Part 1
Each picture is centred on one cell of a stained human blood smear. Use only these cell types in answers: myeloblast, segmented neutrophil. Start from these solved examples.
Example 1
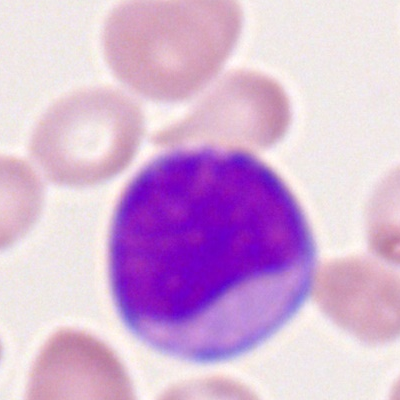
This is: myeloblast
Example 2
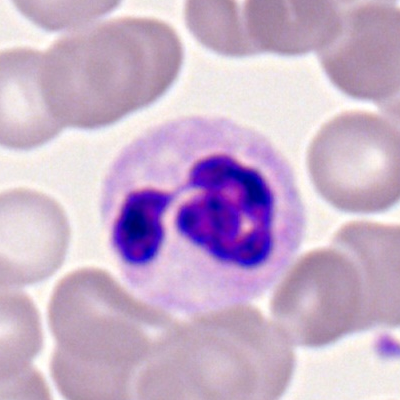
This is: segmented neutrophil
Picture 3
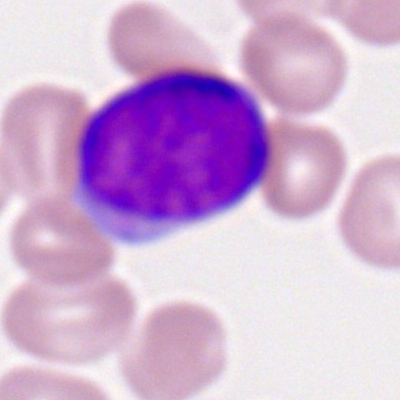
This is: myeloblast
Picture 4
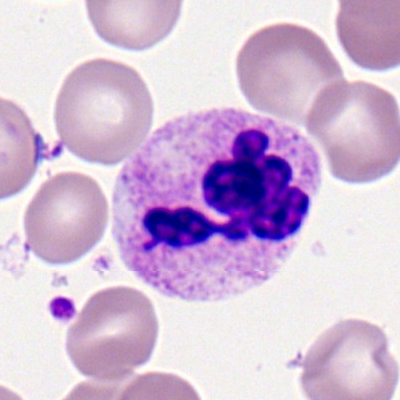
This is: segmented neutrophil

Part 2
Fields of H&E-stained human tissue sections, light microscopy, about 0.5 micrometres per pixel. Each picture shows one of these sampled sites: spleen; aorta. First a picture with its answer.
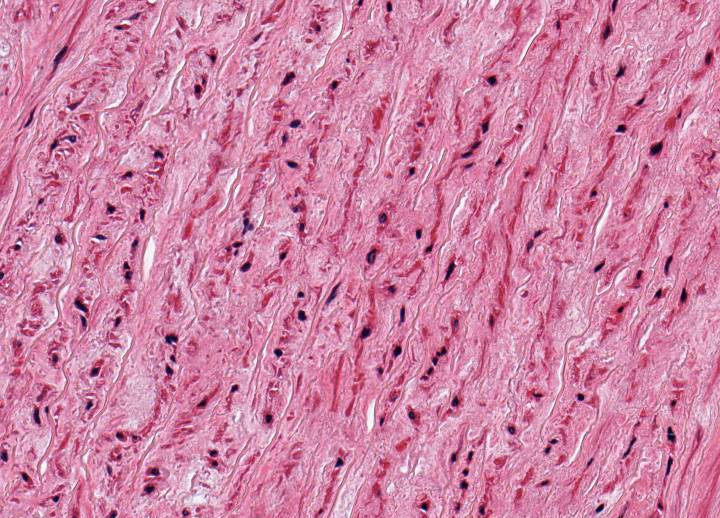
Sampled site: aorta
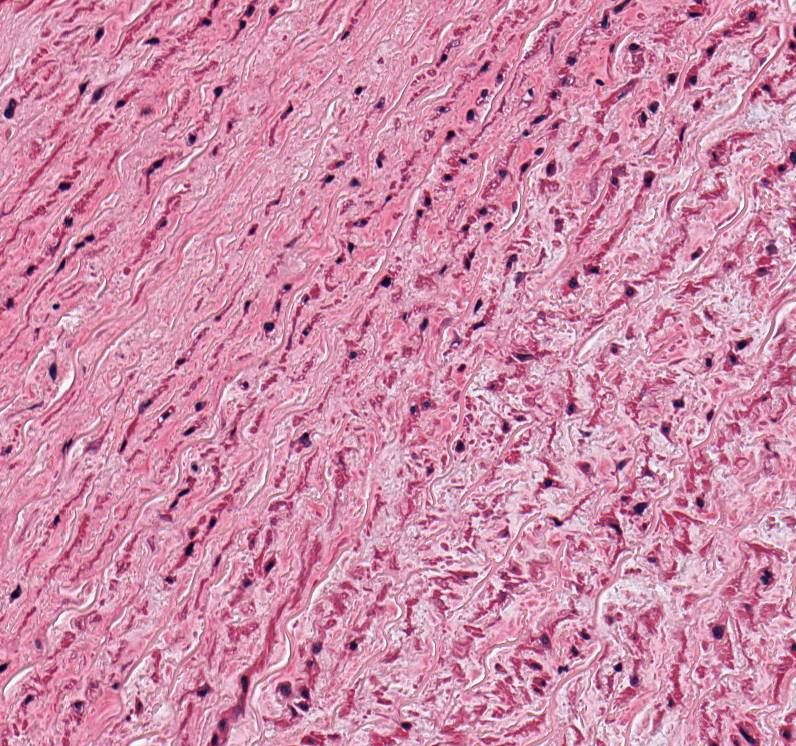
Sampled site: aorta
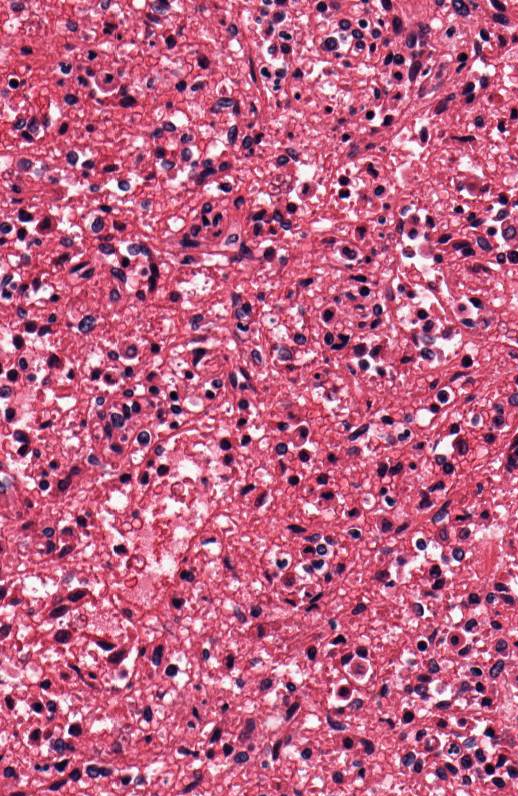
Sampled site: spleen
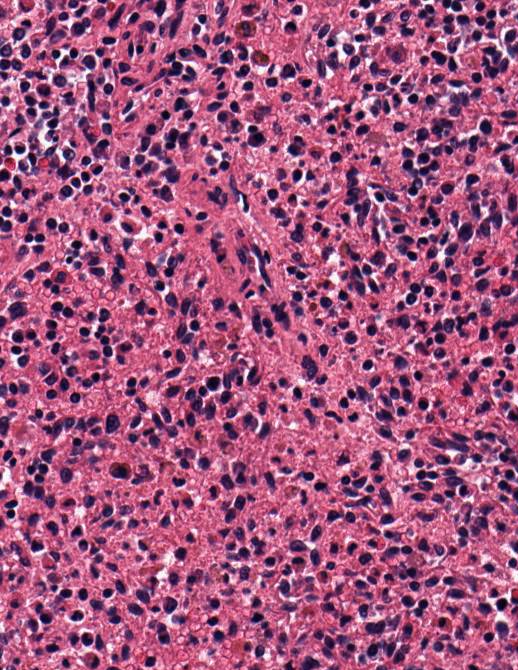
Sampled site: spleen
